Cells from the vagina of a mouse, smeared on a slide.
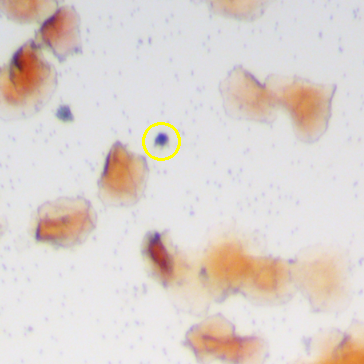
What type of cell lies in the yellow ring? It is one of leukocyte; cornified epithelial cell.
The ringed cell is a leukocyte.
